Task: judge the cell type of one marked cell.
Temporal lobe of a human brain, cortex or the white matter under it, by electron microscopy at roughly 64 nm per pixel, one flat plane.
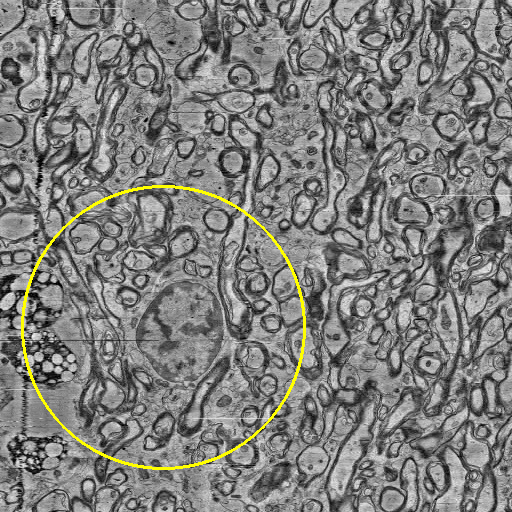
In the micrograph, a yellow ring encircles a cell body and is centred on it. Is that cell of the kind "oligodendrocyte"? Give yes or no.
no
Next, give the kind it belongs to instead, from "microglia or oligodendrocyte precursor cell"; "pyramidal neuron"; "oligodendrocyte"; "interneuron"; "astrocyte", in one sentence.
Instead, the picture shows a microglial cell or oligodendrocyte precursor cell at the centre of the ring.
